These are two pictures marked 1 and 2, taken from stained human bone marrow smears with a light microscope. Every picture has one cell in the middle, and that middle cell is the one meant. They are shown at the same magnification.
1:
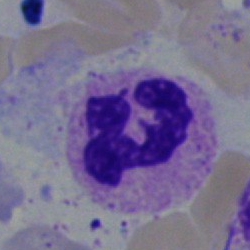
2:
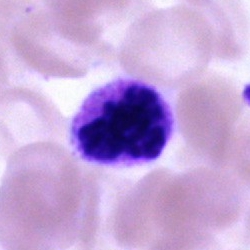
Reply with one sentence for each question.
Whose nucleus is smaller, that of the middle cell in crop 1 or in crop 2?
Smaller is the nucleus in crop 2, and the other is about 1.5 times as large in area.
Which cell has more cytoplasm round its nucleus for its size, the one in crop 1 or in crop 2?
In crop 1 the nucleus takes up the smaller part of its cell.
